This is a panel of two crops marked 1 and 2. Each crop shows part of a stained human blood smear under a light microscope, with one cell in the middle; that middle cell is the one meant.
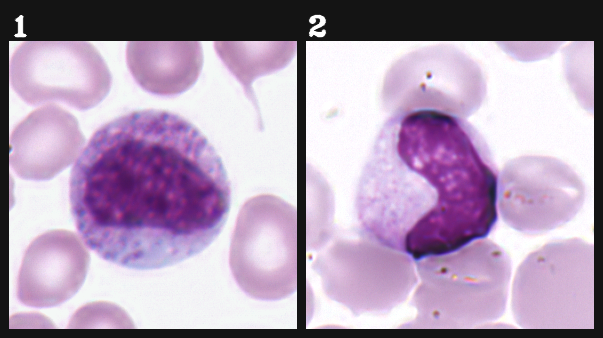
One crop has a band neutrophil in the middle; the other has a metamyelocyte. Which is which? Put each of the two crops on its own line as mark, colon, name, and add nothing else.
1: metamyelocyte
2: band neutrophil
